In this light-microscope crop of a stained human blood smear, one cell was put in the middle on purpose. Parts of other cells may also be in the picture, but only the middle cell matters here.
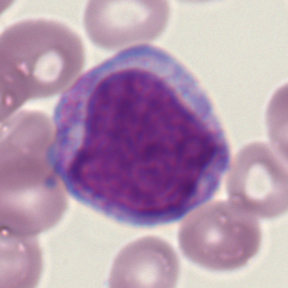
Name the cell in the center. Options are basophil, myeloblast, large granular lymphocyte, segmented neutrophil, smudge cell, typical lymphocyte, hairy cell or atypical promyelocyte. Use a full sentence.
The central element of this crop is a cell, namely an atypical promyelocyte.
